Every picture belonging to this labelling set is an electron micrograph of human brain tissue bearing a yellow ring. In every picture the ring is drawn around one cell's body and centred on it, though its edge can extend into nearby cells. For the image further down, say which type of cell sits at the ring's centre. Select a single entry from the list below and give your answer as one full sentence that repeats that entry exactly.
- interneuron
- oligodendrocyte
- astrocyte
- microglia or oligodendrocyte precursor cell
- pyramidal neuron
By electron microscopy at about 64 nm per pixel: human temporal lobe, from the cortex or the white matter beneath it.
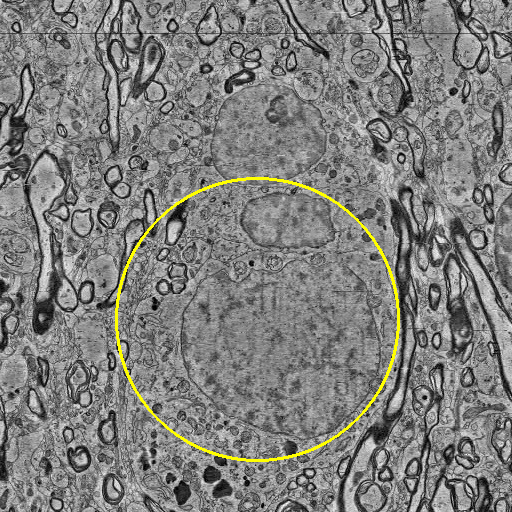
In the picture, an interneuron is the cell at the centre of the yellow ring.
